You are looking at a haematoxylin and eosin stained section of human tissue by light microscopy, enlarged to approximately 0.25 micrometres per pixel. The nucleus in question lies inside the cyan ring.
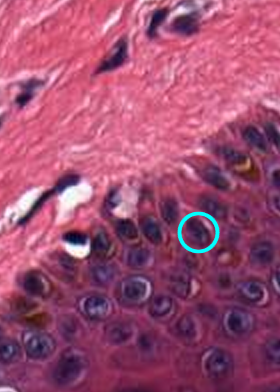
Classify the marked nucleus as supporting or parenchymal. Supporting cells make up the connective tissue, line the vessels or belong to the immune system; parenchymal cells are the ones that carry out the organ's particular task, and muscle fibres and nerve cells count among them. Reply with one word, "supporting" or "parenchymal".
parenchymal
